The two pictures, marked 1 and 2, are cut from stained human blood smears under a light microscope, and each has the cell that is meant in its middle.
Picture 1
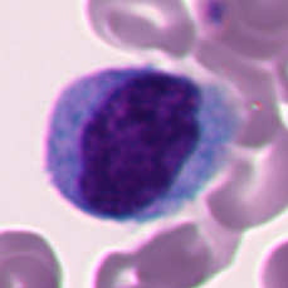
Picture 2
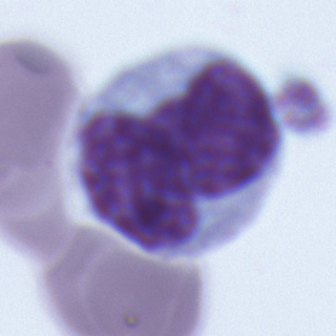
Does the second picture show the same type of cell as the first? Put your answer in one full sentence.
Yes, both cells are monocytes.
